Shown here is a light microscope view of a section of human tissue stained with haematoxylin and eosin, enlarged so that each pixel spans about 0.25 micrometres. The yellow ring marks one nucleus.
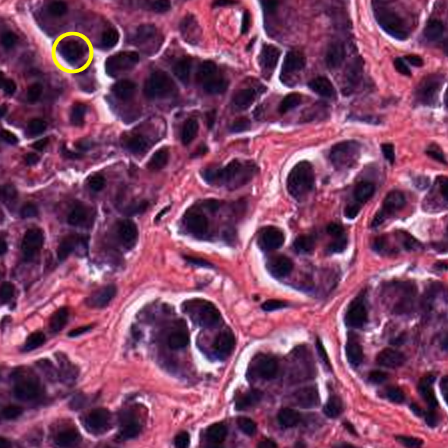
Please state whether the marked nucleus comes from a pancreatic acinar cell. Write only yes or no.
yes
